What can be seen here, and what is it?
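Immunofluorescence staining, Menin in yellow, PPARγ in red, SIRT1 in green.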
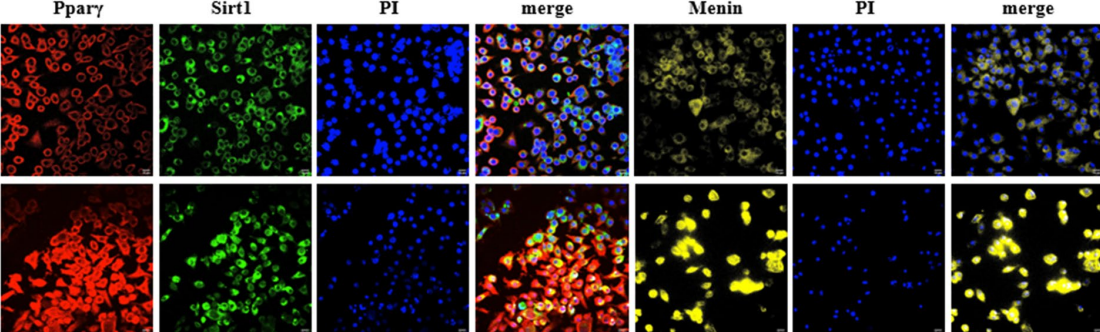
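In the upper row the red and green stains mostly form rims and rings around the cells, leaving the round nuclear area paler. In the upper row the yellow stain is faint and lies in the cytoplasm around the blue nuclei. In the lower row the red stain fills the cells more evenly and densely, including their centres, and the cells lie packed together. The yellow stain in the lower row is very bright in clumped, irregular cells. The blue nuclei appear smaller and sparser in the lower row.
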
